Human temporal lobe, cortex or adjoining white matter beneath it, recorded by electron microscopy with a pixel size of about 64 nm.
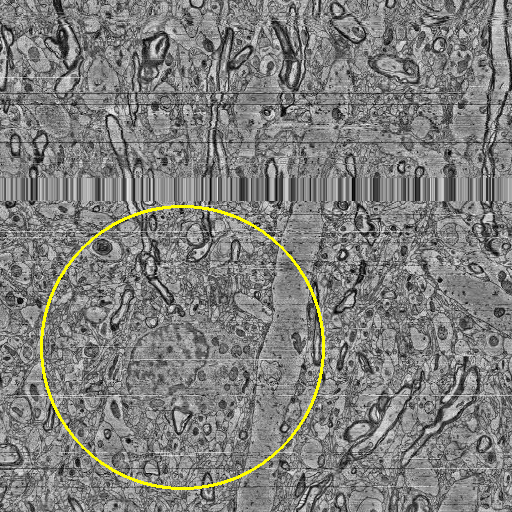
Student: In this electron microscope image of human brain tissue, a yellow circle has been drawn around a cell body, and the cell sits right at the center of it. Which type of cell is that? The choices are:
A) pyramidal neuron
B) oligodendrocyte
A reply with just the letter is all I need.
B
